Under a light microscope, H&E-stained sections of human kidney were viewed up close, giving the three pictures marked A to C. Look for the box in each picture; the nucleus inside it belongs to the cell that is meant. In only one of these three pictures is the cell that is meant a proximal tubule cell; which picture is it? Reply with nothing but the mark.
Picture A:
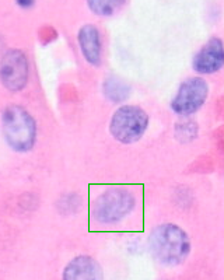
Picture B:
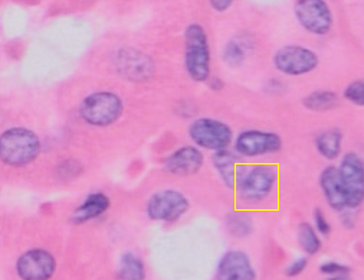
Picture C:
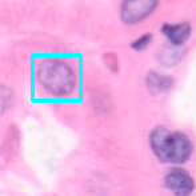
C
